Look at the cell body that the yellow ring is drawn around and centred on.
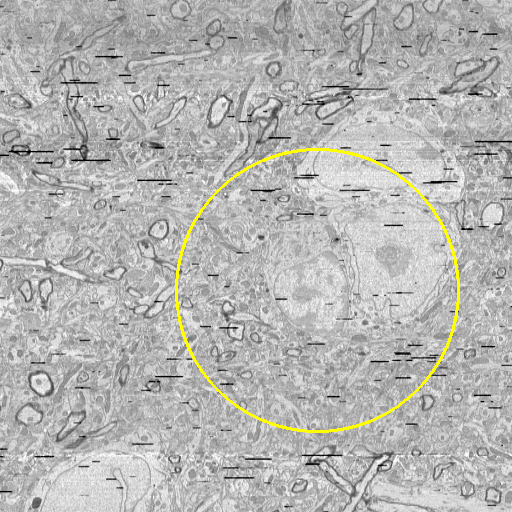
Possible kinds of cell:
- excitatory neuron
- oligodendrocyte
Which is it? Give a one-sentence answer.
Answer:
The centred cell body is that of an oligodendrocyte.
